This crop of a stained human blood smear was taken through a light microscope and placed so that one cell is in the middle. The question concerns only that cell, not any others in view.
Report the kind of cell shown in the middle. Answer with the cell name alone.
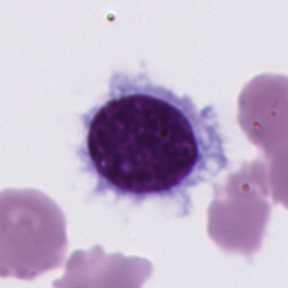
hairy cell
